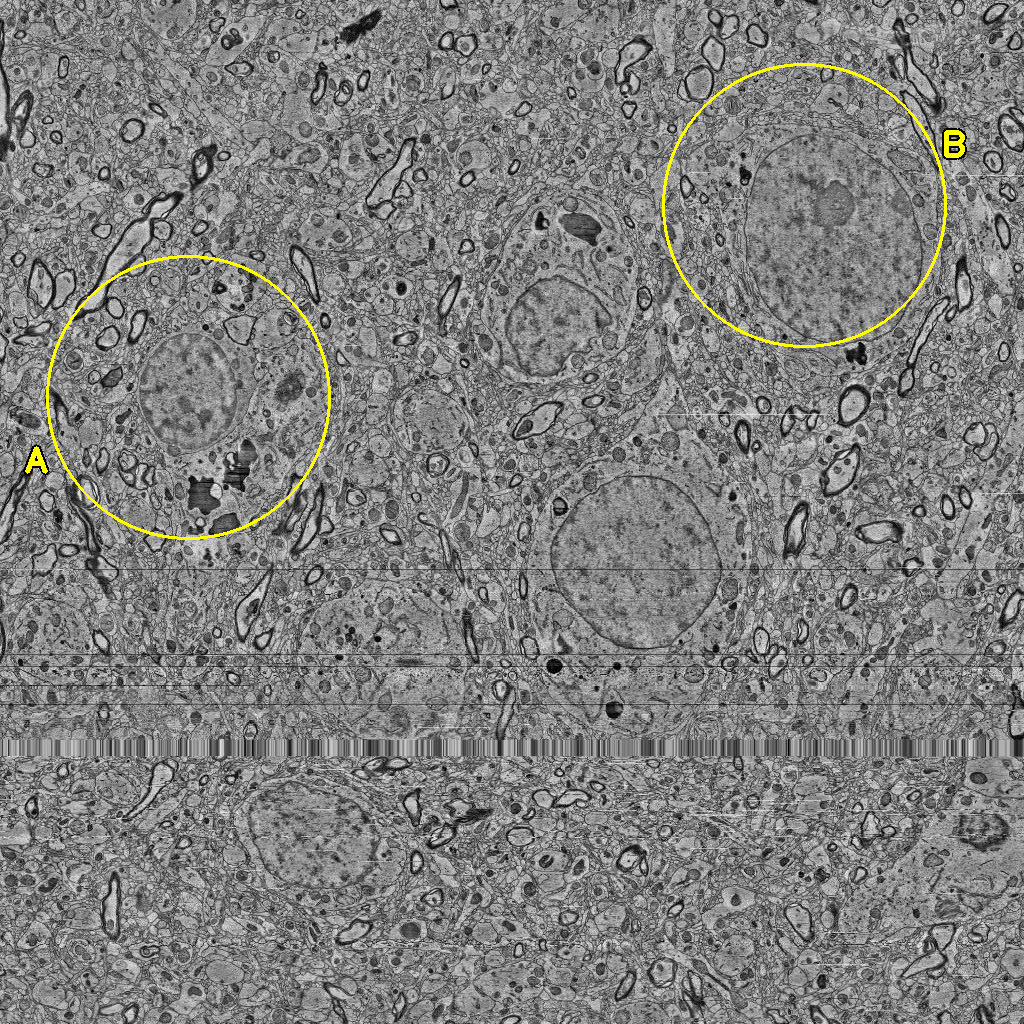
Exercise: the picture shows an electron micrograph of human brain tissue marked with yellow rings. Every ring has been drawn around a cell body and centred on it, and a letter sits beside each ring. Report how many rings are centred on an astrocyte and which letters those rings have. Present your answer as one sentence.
No lettered ring is centred on an astrocyte, so the number of such rings is zero.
